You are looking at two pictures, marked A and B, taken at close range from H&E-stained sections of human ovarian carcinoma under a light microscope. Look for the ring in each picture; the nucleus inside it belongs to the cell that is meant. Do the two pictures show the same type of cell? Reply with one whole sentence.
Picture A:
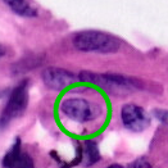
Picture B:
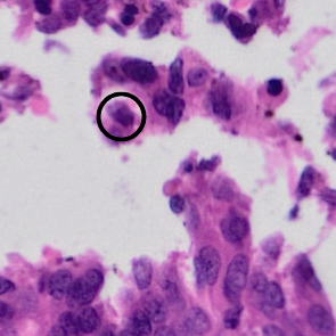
Yes, they are the same type: both are “macrophages or monocytes”.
